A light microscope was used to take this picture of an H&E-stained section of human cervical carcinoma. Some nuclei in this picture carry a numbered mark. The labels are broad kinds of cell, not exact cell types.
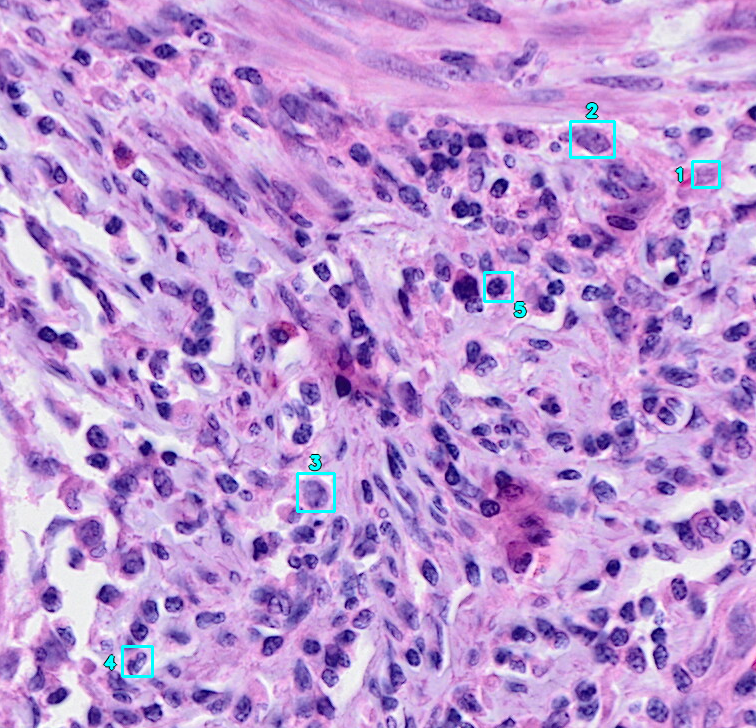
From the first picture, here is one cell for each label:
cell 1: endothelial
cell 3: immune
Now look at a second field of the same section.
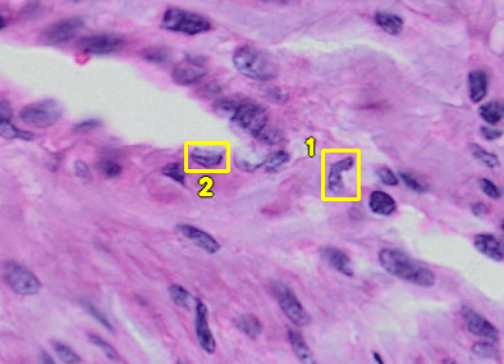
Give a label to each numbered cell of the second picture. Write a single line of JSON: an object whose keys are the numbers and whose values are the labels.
{"1": "immune", "2": "endothelial"}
